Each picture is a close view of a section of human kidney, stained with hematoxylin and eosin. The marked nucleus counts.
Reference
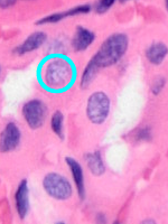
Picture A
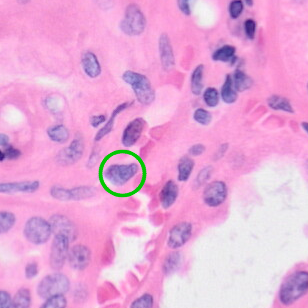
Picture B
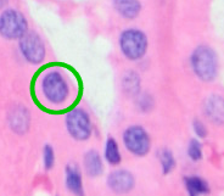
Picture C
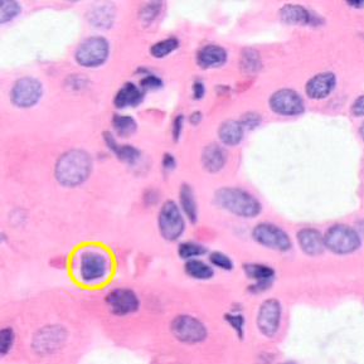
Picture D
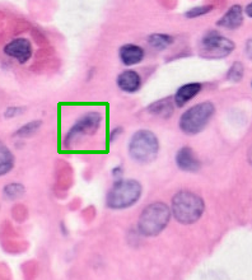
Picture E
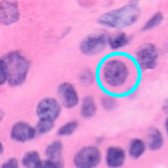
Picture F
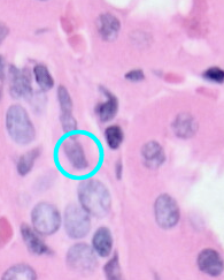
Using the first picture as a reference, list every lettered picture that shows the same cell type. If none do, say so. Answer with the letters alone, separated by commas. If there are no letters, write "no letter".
B, E, F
